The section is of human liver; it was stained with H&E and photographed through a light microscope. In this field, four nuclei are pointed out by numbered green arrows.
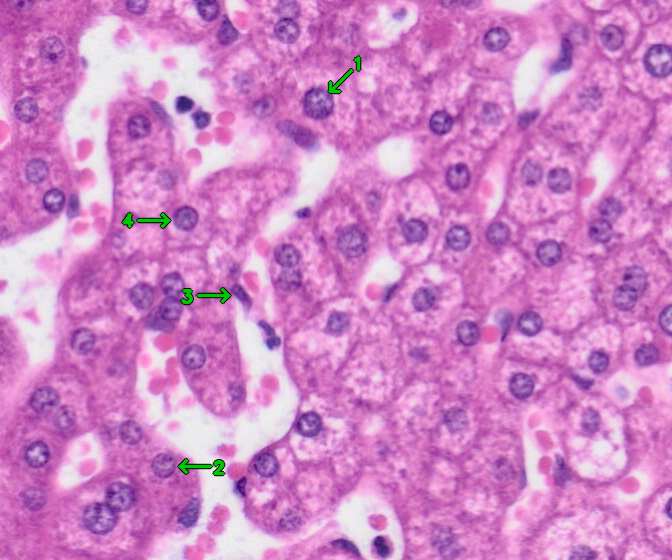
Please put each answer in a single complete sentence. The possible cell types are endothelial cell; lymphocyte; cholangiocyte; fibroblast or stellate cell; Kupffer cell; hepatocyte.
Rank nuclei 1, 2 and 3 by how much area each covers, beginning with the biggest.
Going from the biggest nucleus down to the smallest gives 1, 2, 3.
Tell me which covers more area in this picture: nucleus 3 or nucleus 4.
It is nucleus 4, which covers about 2 times the area of nucleus 3.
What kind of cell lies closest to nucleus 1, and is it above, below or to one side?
Just below and to the left of nucleus 1 lies the nearest nucleus, which belongs to a Kupffer cell.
